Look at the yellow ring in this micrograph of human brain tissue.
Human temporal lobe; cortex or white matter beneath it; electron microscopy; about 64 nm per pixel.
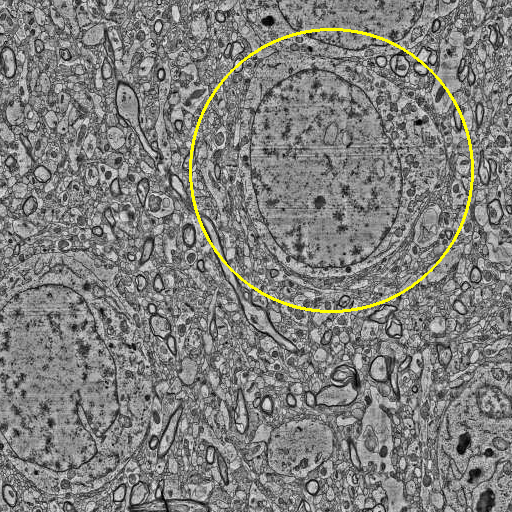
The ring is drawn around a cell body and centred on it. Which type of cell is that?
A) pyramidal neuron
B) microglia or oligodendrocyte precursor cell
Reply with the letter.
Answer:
A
